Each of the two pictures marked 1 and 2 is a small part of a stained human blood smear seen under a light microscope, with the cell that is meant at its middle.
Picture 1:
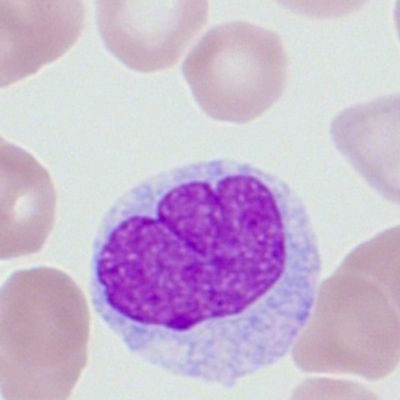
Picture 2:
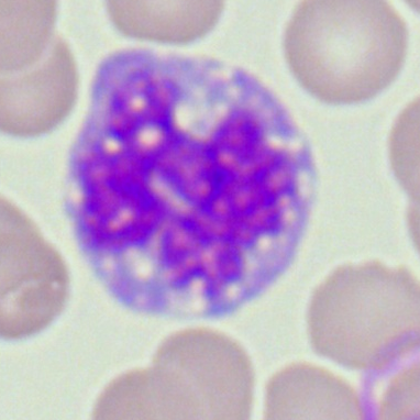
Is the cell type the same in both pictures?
yes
